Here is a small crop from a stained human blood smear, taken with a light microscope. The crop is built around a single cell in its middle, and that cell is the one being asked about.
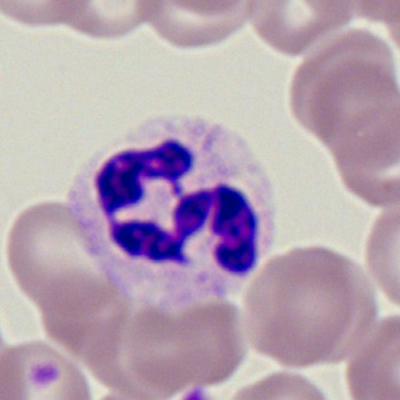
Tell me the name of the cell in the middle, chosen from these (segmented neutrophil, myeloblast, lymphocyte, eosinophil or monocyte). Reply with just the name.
segmented neutrophil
